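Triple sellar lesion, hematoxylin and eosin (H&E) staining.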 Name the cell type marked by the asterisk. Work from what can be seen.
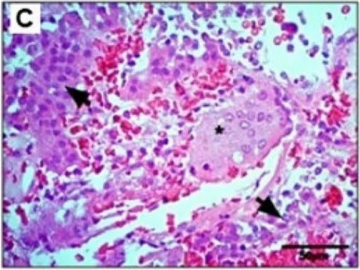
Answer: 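A large pink cell mass at the asterisk is much bigger than the surrounding cells. Several nuclei lie within the one mass. Small clear vacuoles are visible inside it. The answer: Giant multinucleated cells.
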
